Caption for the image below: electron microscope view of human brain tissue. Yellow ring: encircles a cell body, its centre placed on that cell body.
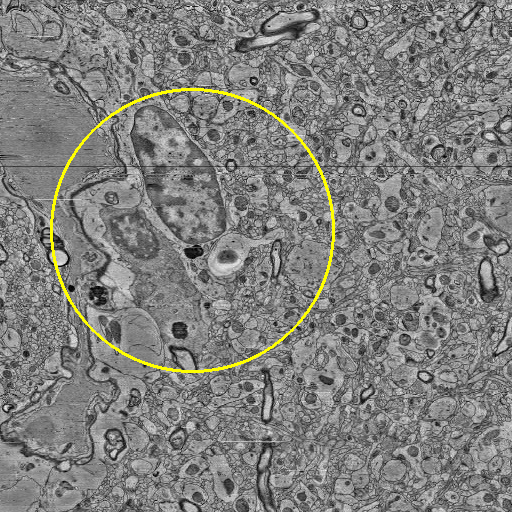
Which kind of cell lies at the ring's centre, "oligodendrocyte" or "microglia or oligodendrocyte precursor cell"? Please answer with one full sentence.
The picture shows a microglial cell or oligodendrocyte precursor cell at the centre of the yellow ring.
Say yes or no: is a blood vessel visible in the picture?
Yes.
